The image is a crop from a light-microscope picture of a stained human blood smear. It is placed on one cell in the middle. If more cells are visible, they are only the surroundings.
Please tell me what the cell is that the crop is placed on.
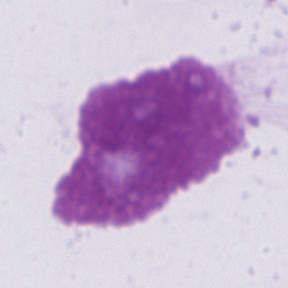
smudge cell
